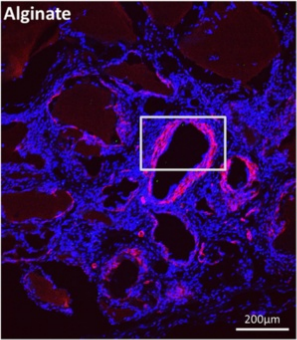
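Low-magnification fluorescence view of densely cellular tissue, marked by many blue nuclei, that fills the spaces between large, rounded, dark and largely acellular areas. Red-stained walls form rings and tubes of varying size scattered through the cellular tissue, one of them outlined by a white box, consistent with vessel formation.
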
